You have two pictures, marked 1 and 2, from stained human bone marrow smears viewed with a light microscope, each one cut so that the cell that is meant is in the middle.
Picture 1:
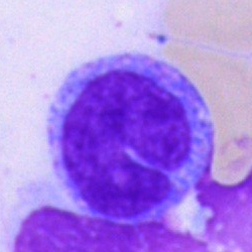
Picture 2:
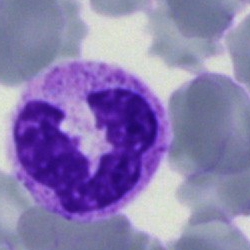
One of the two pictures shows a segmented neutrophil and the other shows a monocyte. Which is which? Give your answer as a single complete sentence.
Picture 2 shows a segmented neutrophil, while picture 1 shows a monocyte.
